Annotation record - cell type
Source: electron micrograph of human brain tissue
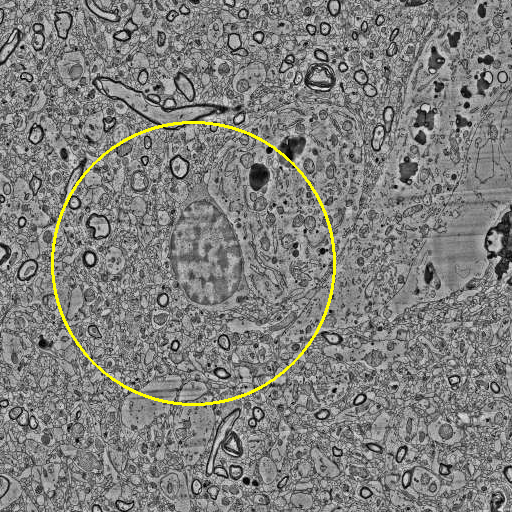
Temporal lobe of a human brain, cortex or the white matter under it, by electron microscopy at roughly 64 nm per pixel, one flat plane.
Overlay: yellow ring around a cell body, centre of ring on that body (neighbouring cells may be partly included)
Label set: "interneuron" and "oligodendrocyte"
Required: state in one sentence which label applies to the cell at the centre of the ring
This cell should be labelled as an oligodendrocyte.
